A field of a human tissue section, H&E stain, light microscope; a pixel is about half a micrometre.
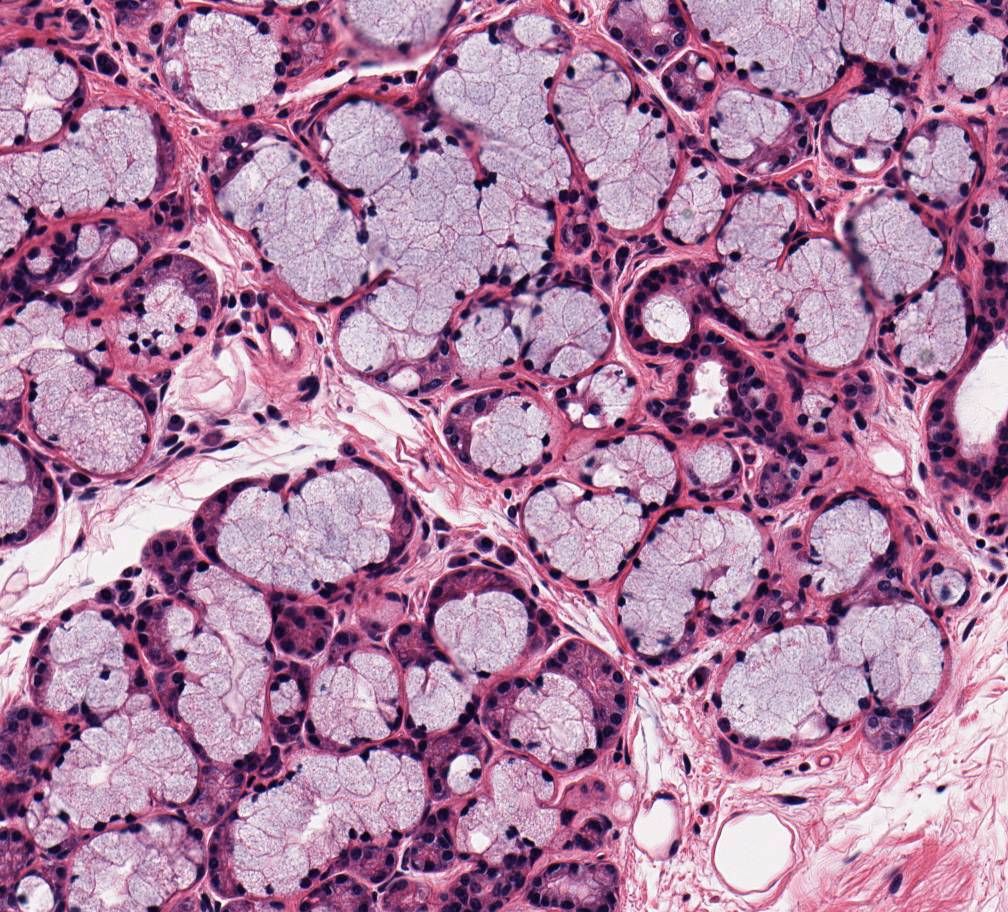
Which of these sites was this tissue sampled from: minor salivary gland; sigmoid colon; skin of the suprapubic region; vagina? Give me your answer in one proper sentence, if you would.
The tissue in view was sampled from the minor salivary gland.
